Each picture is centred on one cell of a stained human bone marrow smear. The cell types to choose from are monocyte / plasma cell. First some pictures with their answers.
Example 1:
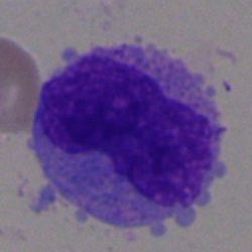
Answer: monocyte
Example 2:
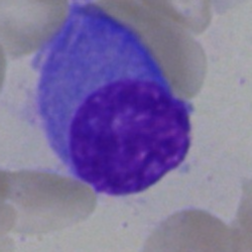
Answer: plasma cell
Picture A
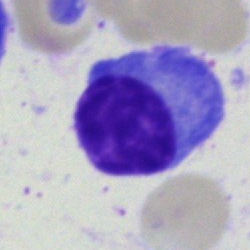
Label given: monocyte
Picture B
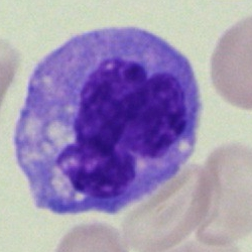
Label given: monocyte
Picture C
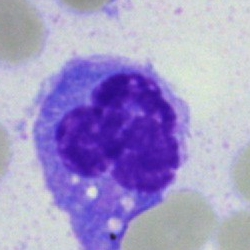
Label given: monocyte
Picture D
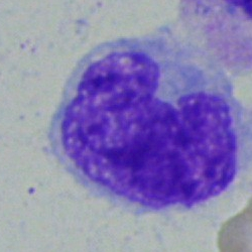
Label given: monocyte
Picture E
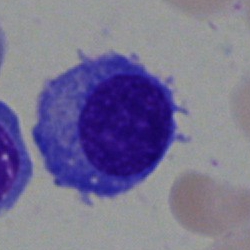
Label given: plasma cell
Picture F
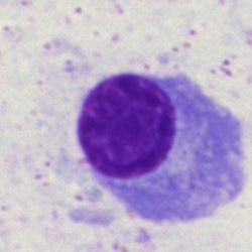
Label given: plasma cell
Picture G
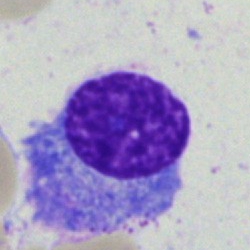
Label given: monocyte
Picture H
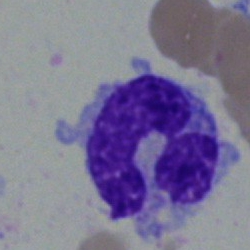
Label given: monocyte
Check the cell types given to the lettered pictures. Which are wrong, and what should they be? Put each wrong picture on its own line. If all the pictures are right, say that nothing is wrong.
A: change monocyte to plasma cell
G: change monocyte to plasma cell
